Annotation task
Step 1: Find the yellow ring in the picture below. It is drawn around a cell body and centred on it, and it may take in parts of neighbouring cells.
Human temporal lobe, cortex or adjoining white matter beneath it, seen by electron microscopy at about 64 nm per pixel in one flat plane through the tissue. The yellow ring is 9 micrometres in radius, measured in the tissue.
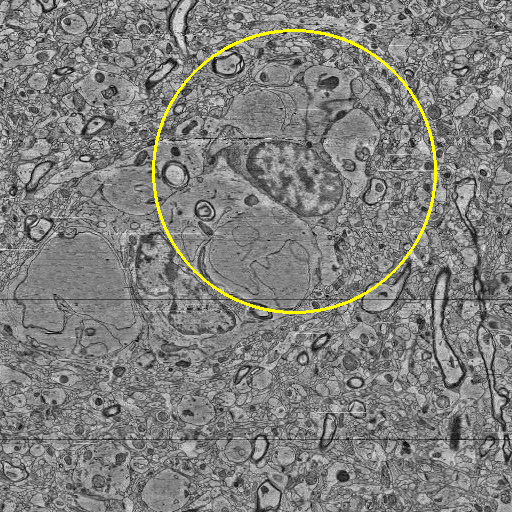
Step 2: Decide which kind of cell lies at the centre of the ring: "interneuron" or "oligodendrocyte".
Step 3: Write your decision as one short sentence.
The kind of cell at the ring's centre is an oligodendrocyte.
